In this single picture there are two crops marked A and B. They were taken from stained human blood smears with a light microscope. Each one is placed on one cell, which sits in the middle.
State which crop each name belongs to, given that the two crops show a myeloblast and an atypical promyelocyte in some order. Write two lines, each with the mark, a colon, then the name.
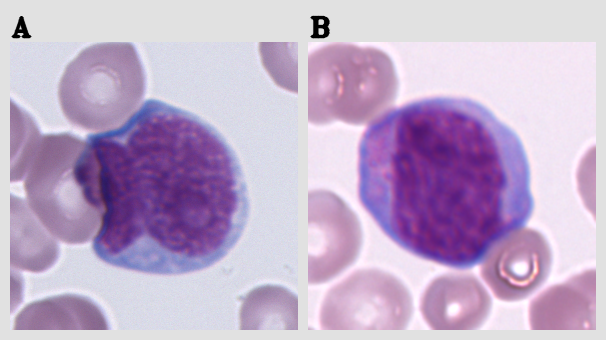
A: myeloblast
B: atypical promyelocyte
